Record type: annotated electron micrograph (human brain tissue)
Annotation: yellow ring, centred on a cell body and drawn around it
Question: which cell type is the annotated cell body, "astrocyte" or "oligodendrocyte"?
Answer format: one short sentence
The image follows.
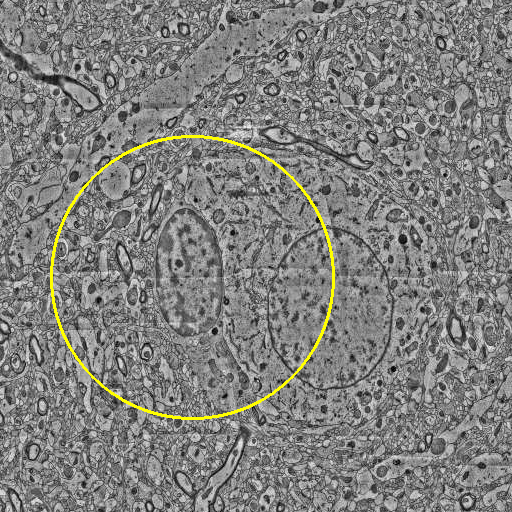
The annotated cell body is that of an oligodendrocyte.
